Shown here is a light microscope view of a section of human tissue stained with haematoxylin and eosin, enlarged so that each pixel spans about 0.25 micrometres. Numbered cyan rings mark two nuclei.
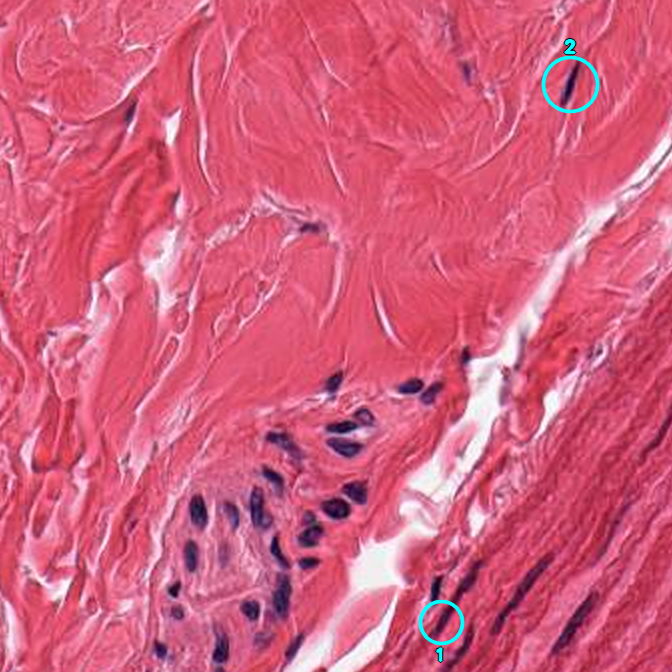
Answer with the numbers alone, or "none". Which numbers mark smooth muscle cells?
1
